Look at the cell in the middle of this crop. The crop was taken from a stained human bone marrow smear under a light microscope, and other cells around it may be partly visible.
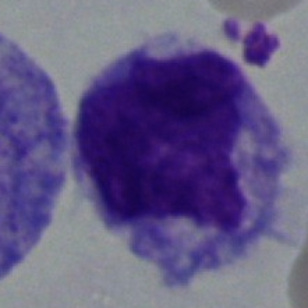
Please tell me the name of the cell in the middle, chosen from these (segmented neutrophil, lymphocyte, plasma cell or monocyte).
monocyte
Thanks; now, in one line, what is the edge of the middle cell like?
The outer contour of the cell is irregular, with ragged portions or projections along it.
